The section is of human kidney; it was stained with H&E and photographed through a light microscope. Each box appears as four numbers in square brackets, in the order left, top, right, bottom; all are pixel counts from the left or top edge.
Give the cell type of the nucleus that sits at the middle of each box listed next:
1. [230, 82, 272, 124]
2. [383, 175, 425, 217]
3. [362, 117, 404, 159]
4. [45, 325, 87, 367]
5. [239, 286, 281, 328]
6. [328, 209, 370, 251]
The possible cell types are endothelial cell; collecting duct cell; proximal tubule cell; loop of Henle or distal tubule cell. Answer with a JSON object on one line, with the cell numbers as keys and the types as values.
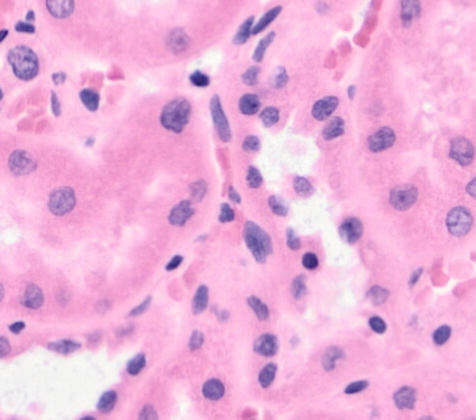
{"1": "loop of Henle or distal tubule cell", "2": "proximal tubule cell", "3": "proximal tubule cell", "4": "loop of Henle or distal tubule cell", "5": "loop of Henle or distal tubule cell", "6": "loop of Henle or distal tubule cell"}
